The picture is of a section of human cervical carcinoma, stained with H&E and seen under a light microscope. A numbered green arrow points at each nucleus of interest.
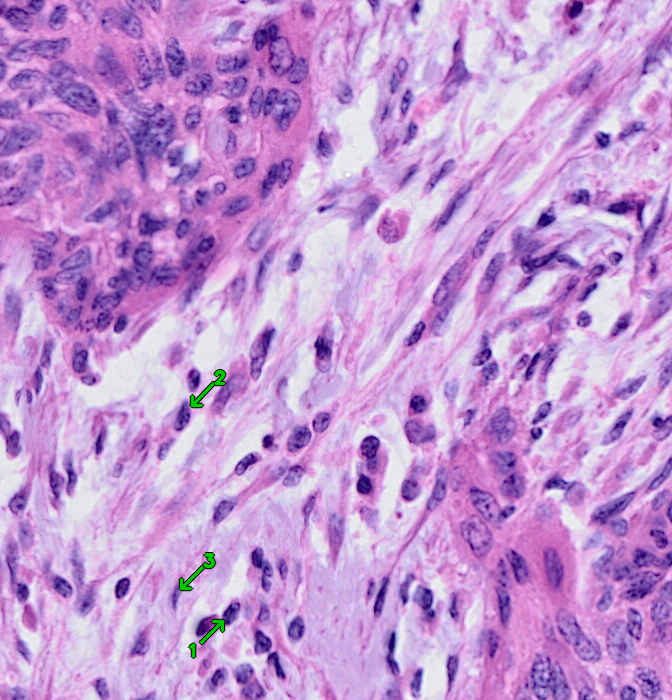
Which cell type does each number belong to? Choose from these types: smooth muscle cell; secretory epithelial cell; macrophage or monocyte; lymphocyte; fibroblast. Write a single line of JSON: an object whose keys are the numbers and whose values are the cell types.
{"1": "lymphocyte", "2": "lymphocyte", "3": "fibroblast"}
